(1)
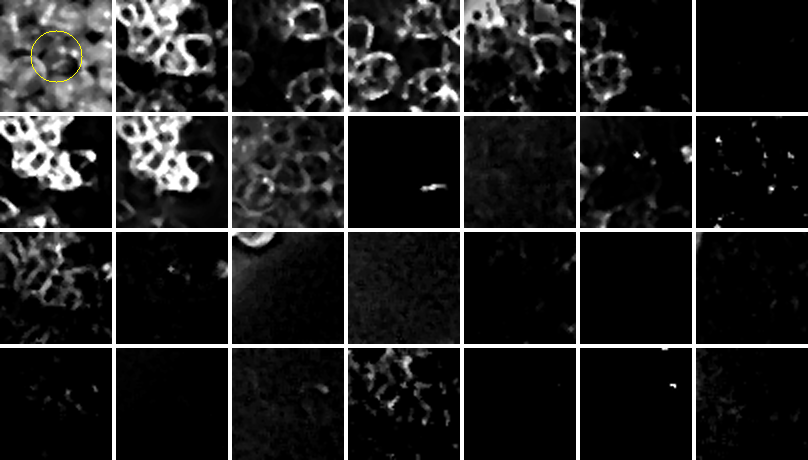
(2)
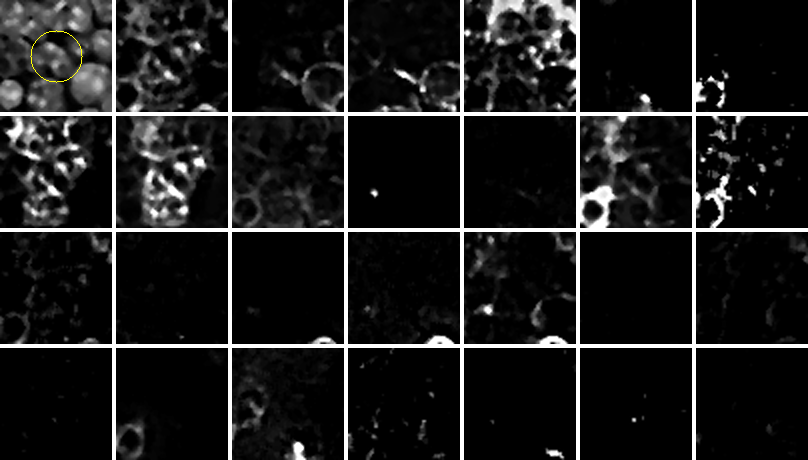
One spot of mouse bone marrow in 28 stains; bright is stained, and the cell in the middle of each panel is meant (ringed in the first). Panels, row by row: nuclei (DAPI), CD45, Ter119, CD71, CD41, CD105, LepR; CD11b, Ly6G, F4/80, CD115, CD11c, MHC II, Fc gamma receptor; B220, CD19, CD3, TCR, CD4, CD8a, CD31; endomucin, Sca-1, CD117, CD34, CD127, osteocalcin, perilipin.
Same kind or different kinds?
Same: neutrophils.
